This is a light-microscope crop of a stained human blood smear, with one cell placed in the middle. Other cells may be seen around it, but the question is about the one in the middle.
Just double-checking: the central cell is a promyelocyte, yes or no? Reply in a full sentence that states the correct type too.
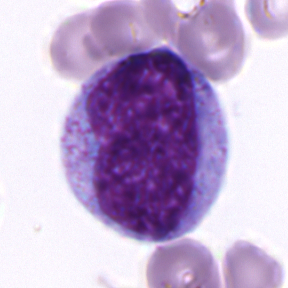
Yes, it is a promyelocyte that occupies the centre of the crop.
